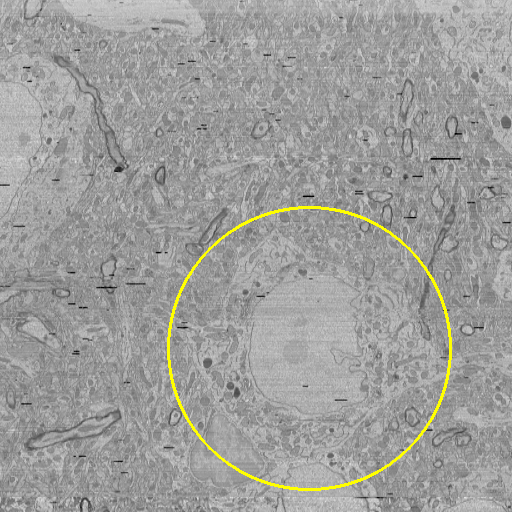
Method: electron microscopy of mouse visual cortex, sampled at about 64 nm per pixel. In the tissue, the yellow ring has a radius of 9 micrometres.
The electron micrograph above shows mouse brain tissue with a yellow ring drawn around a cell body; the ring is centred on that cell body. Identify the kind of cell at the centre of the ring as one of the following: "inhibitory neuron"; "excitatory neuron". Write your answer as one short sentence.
The cell at the centre of the ring is an inhibitory neuron.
